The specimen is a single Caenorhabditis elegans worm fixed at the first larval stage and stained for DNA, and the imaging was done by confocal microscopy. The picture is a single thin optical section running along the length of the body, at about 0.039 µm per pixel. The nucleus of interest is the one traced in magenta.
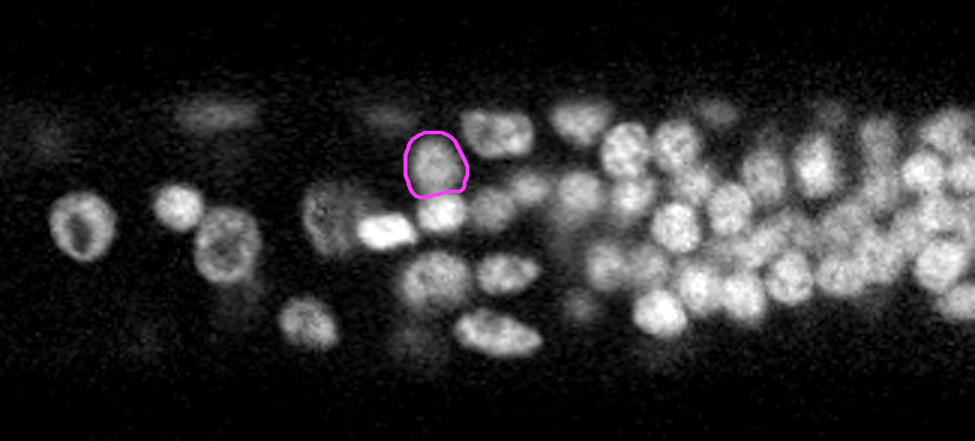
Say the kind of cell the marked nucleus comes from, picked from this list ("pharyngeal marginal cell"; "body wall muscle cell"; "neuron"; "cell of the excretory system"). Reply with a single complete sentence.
The marked nucleus belongs to a cell of the excretory system.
